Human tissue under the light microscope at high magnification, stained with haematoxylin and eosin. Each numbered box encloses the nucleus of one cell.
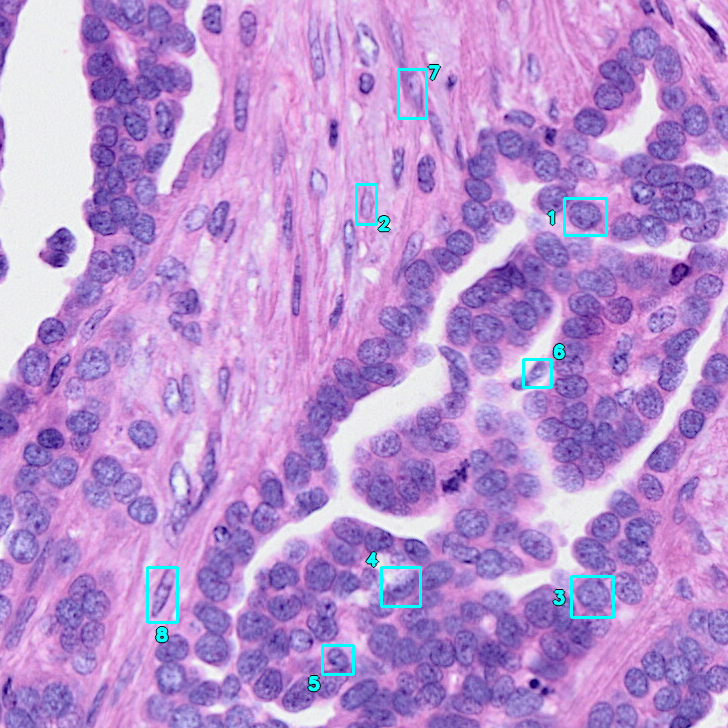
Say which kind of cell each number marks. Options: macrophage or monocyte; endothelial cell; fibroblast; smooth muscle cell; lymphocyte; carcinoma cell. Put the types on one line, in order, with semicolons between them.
carcinoma cell; fibroblast; carcinoma cell; carcinoma cell; macrophage or monocyte; macrophage or monocyte; fibroblast; fibroblast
